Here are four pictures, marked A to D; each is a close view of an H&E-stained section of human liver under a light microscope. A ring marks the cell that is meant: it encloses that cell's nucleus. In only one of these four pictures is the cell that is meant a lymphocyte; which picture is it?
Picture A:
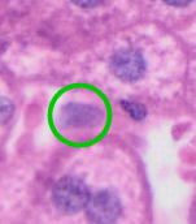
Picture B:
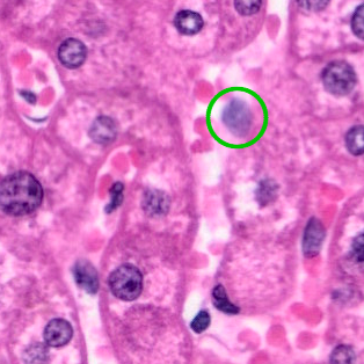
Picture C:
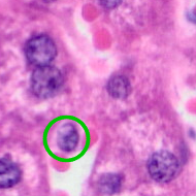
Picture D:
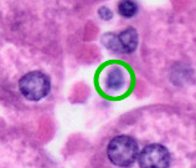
D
